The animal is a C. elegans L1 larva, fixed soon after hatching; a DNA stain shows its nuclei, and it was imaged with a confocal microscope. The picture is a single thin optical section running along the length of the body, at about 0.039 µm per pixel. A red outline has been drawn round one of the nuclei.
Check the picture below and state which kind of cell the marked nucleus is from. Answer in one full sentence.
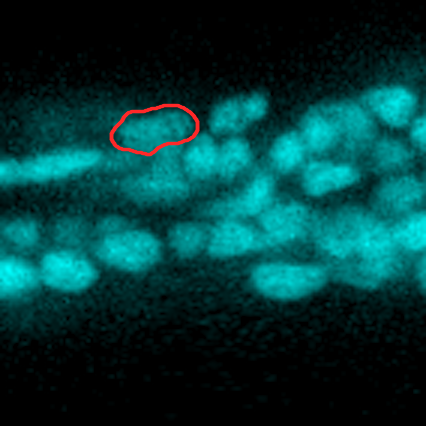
The nucleus comes from a body wall muscle cell.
